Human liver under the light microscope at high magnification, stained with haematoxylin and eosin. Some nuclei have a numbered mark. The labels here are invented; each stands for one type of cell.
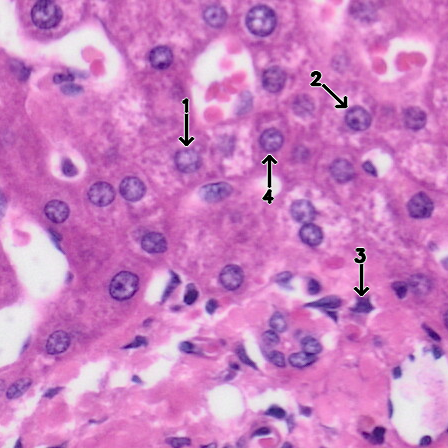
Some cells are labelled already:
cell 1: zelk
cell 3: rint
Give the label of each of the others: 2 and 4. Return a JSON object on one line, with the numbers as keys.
{"2": "zelk", "4": "zelk"}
